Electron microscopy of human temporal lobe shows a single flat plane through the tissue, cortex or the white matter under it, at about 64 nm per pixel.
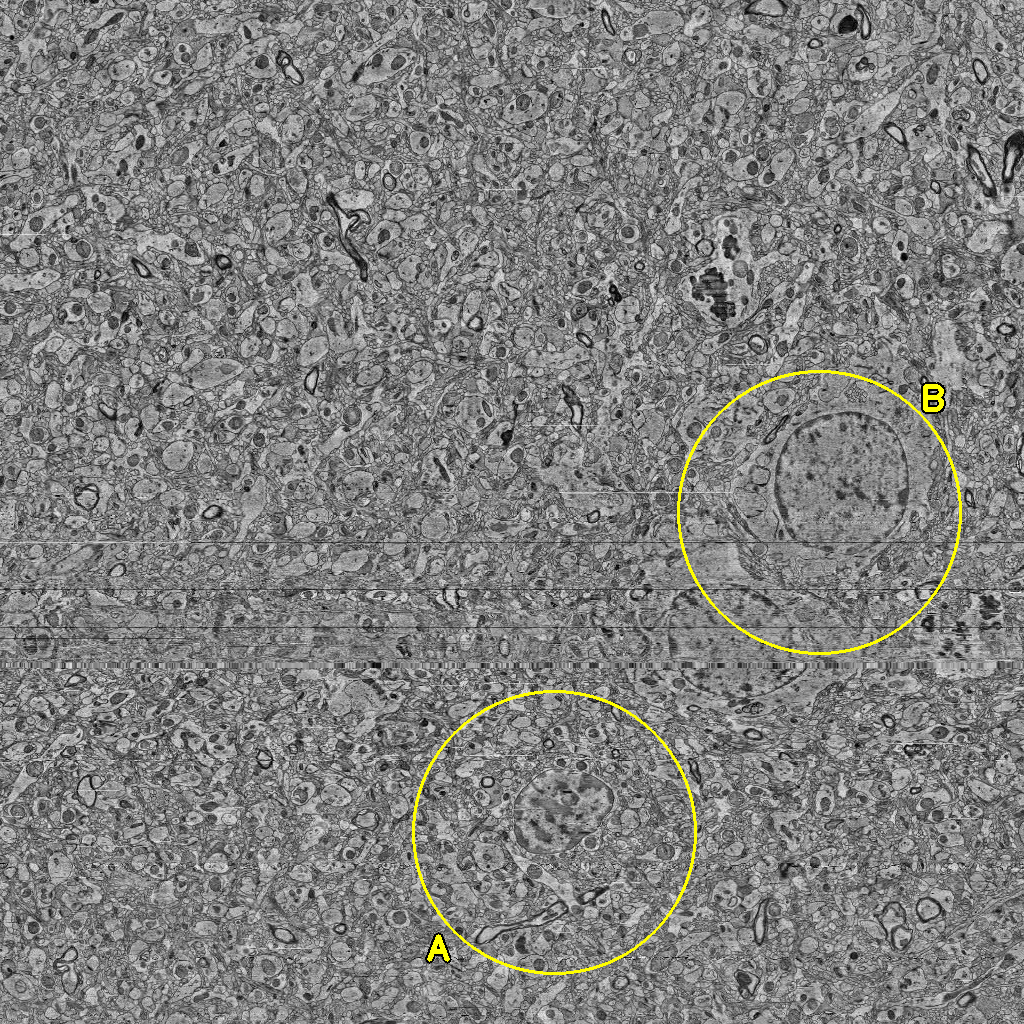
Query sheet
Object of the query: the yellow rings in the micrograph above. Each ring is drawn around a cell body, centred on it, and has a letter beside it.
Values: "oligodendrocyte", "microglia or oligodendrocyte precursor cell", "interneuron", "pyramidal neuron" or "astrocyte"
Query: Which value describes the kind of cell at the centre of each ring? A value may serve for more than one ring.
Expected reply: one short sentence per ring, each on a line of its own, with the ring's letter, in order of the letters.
I assign a microglial cell or oligodendrocyte precursor cell to ring A.
I assign an astrocyte to ring B.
